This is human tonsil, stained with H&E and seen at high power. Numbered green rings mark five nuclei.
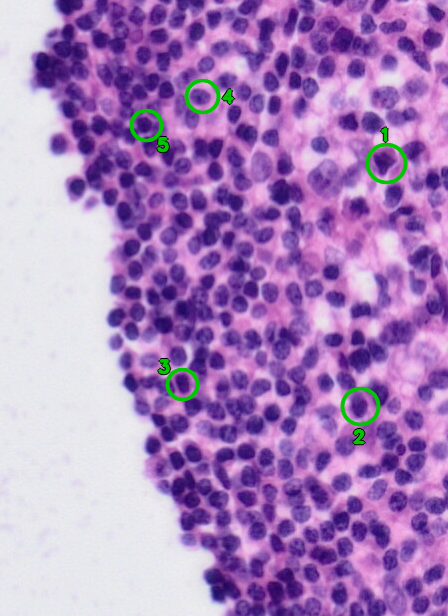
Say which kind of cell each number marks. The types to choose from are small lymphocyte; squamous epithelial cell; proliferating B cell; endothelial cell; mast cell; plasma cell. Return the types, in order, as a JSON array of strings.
["proliferating B cell", "proliferating B cell", "small lymphocyte", "small lymphocyte", "small lymphocyte"]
